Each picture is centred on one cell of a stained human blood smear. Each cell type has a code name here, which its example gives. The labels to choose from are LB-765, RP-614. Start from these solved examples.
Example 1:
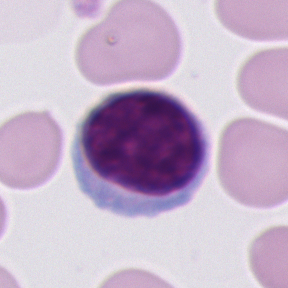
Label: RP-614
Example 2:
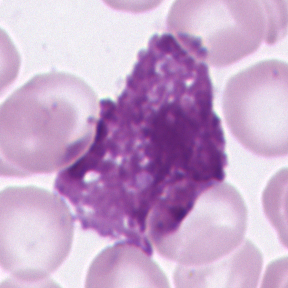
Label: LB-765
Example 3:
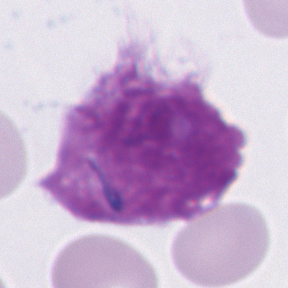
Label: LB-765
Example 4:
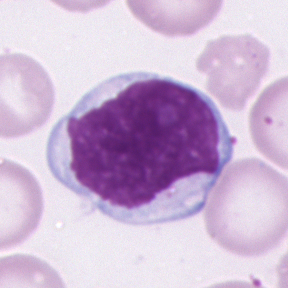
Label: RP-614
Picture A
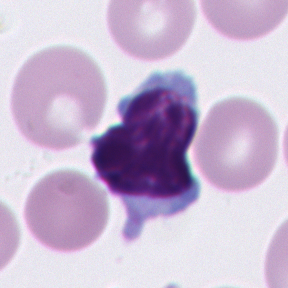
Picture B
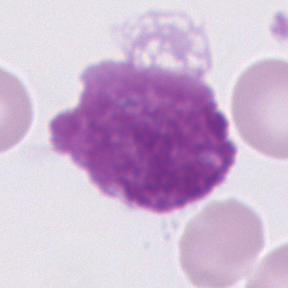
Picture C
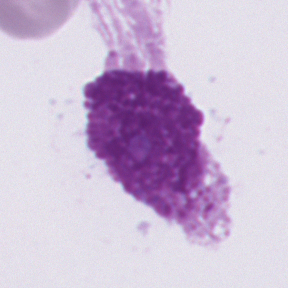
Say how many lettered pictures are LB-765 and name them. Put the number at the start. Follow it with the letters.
2, namely B, C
